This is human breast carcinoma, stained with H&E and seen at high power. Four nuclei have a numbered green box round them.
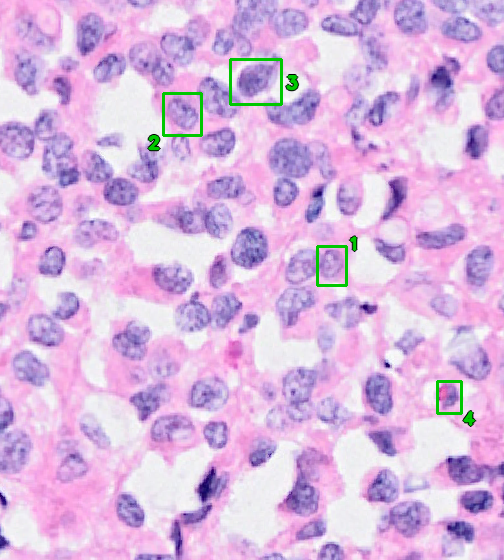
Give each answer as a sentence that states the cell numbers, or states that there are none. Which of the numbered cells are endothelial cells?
The cell marked by number 4 is an endothelial cell; the other marked cells are not.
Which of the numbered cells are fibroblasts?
In this section, none of the numbered cells are fibroblasts.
